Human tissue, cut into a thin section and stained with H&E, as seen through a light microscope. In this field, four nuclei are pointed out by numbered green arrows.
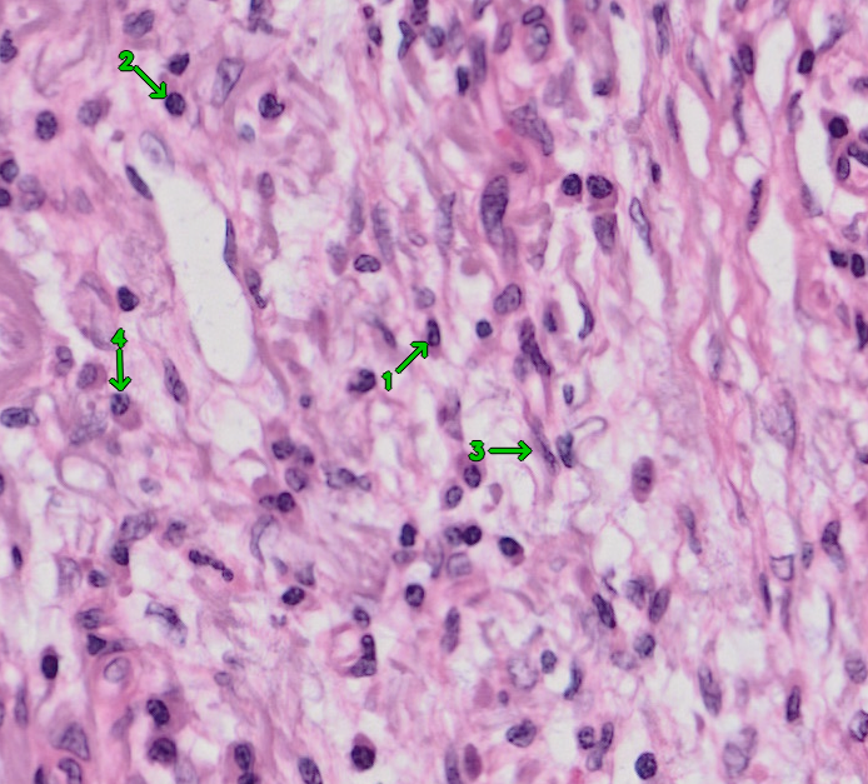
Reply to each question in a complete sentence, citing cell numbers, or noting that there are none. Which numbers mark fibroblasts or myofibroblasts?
Only the cell numbered 3 is a fibroblast or myofibroblast, and the others are something else.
